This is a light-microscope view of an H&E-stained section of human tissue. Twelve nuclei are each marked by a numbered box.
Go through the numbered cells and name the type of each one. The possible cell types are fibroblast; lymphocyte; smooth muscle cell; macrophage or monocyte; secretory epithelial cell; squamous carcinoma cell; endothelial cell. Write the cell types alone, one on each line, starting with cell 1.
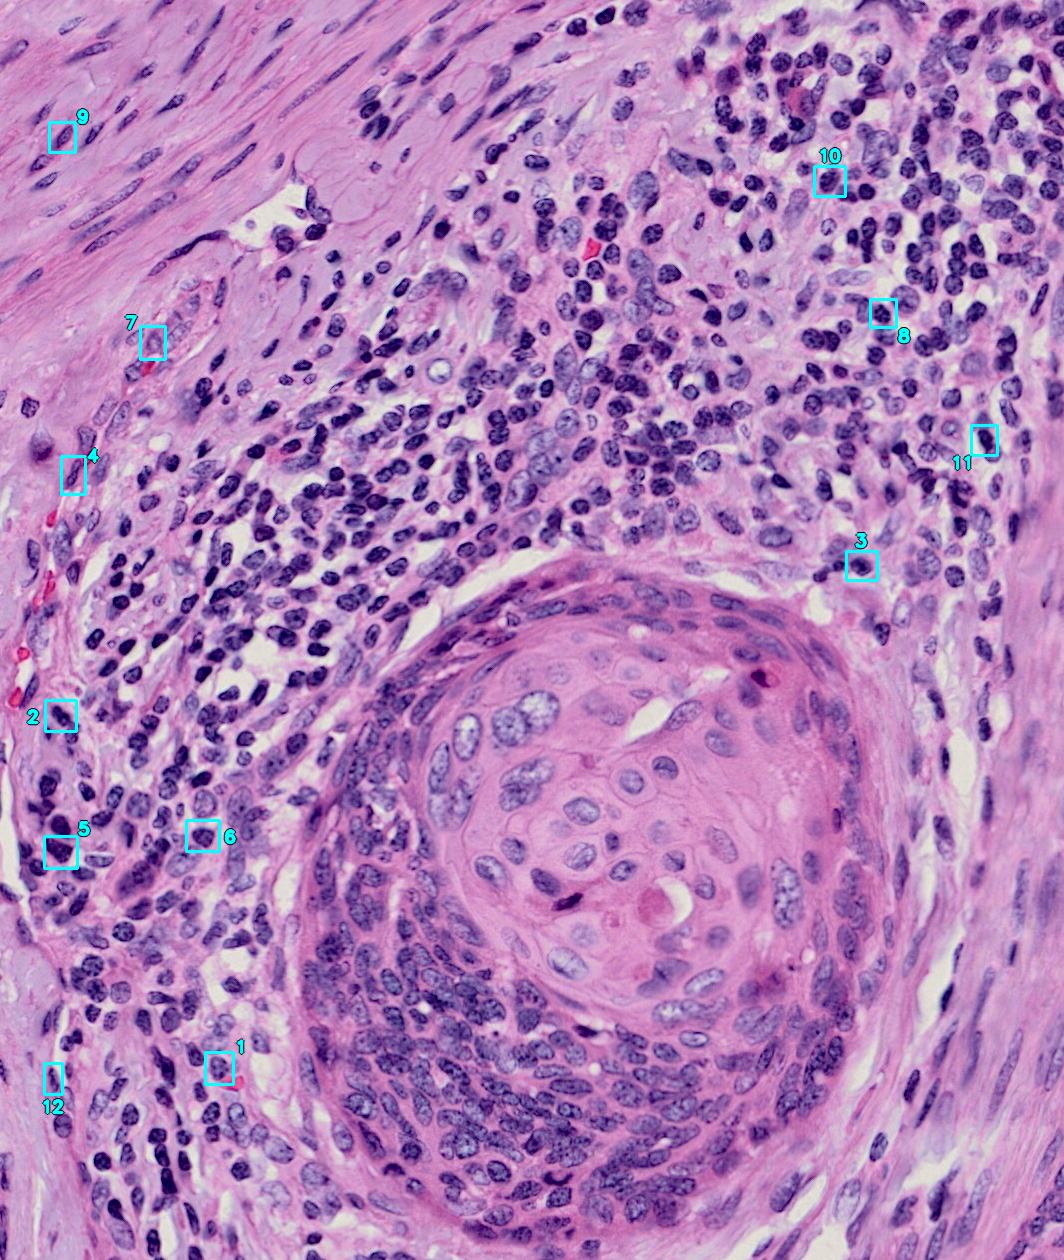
endothelial cell
lymphocyte
lymphocyte
endothelial cell
lymphocyte
lymphocyte
endothelial cell
lymphocyte
smooth muscle cell
lymphocyte
lymphocyte
endothelial cell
